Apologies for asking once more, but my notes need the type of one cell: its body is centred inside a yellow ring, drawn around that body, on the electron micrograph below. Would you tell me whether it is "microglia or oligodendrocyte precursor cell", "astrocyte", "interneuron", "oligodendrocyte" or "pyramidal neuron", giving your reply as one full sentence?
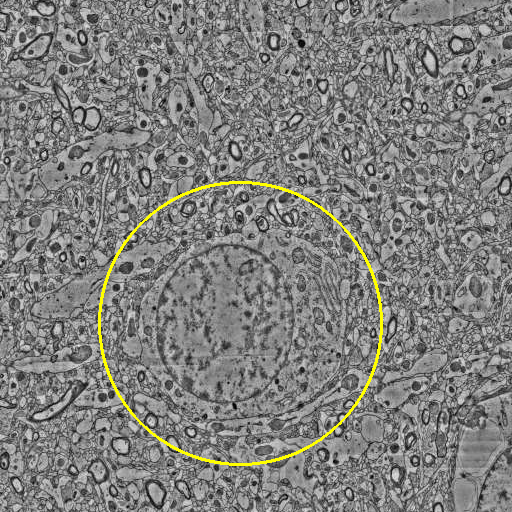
The cell that the yellow ring is centred on is an interneuron in this micrograph.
